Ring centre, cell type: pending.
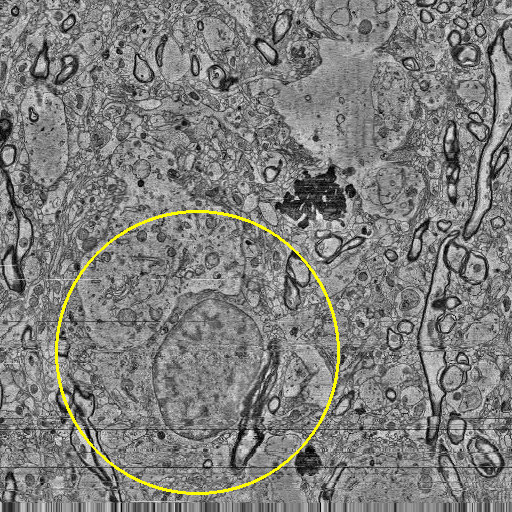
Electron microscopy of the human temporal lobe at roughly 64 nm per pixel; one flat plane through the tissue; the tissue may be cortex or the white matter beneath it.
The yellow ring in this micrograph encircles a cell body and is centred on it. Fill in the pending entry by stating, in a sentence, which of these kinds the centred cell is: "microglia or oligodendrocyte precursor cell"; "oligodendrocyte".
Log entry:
The centred cell is recorded as an oligodendrocyte.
